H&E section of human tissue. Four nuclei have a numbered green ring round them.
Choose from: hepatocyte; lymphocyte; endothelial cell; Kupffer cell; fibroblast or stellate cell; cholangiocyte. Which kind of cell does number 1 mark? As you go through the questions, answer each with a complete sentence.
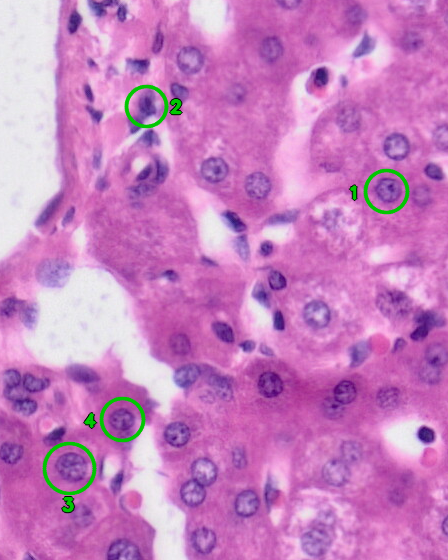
In this section, number 1 marks a hepatocyte.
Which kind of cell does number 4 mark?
Number 4 among the marked cells is a hepatocyte.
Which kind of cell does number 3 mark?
The cell indicated by marker 3 is a hepatocyte in this section.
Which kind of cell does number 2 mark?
The cell with the number 2 is a fibroblast or stellate cell.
